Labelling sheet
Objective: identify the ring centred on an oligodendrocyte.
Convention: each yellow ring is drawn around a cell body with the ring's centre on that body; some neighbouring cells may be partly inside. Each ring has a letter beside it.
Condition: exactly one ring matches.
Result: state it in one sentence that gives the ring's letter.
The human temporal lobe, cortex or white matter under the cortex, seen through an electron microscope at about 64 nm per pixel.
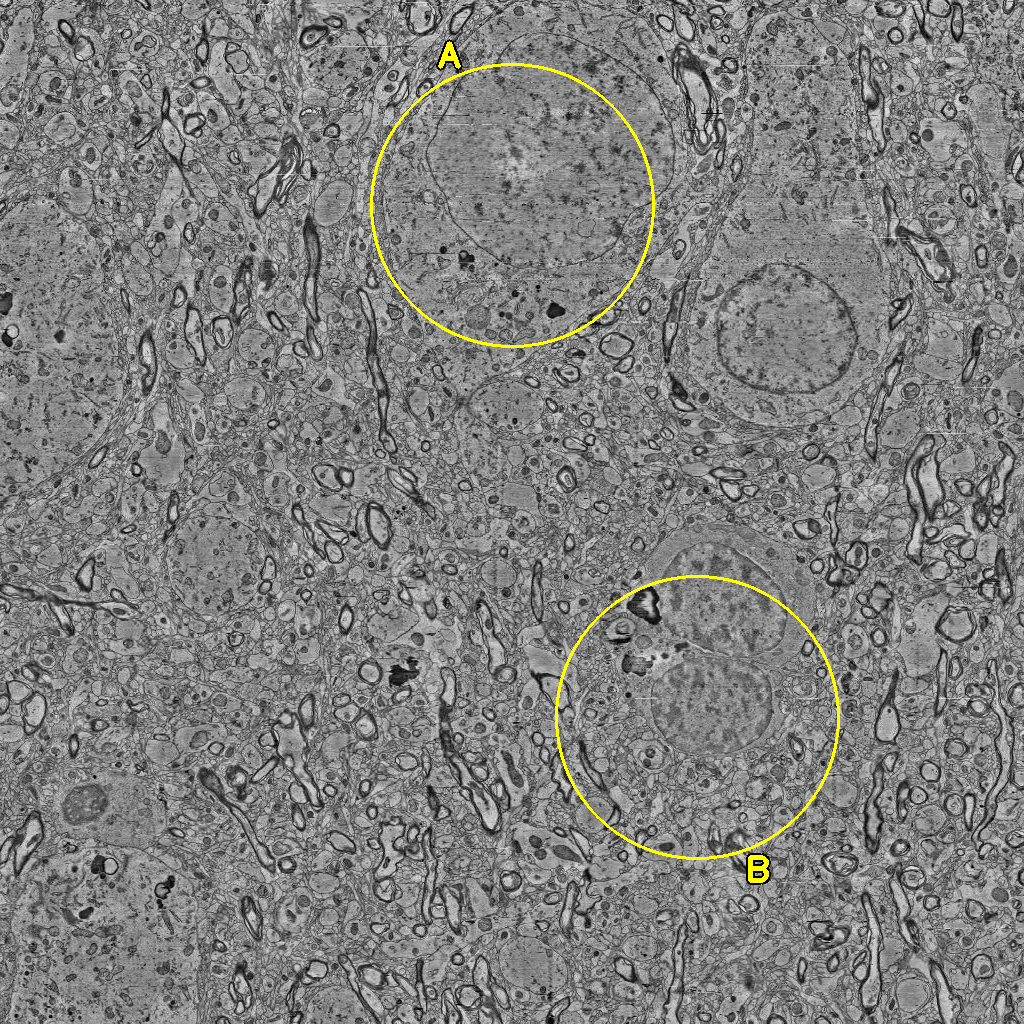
It lies at the centre of ring B.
